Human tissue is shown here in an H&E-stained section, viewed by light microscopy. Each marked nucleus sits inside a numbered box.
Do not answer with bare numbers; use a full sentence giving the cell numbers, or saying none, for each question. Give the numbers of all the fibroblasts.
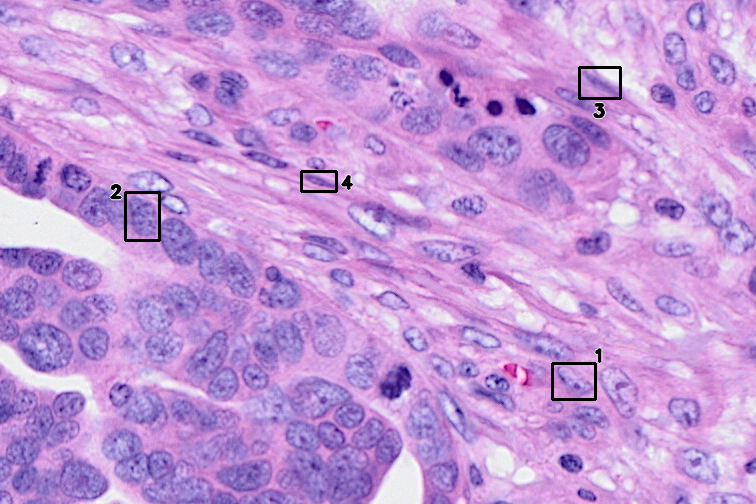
The cells identified by the numbers 1, 3 and 4 are fibroblasts.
